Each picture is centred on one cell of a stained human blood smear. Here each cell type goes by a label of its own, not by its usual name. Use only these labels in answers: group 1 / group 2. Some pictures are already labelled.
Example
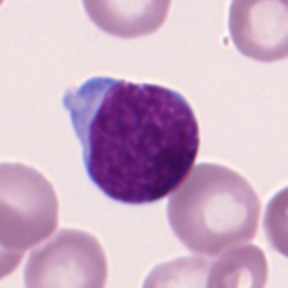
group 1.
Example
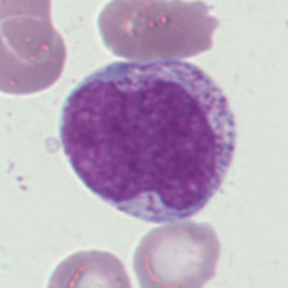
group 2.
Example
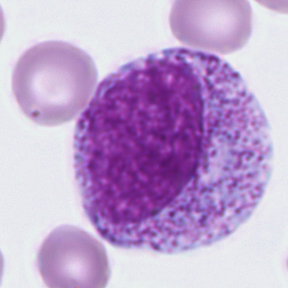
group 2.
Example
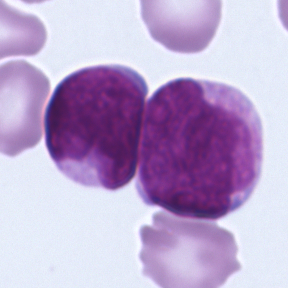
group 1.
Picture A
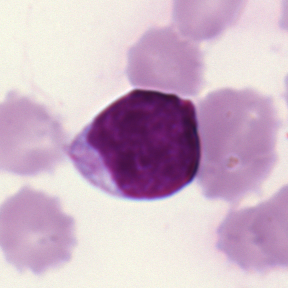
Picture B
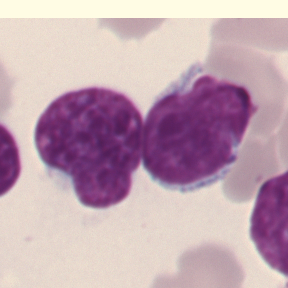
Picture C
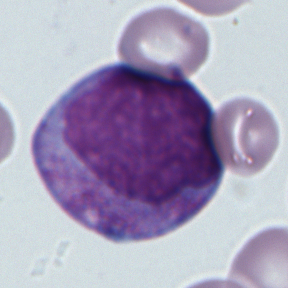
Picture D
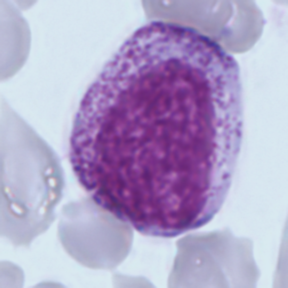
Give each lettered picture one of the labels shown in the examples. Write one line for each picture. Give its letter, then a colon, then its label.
A: group 1.
B: group 1.
C: group 2.
D: group 2.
